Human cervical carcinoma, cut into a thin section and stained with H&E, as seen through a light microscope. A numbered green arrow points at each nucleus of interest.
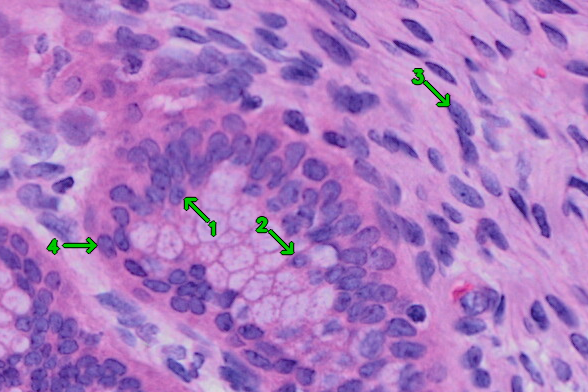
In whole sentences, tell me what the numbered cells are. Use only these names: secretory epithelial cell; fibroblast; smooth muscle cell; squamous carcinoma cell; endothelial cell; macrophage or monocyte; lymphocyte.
Cell 1 is a secretory epithelial cell, cell 2 is a secretory epithelial cell, cell 3 is a fibroblast and cell 4 is a secretory epithelial cell.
